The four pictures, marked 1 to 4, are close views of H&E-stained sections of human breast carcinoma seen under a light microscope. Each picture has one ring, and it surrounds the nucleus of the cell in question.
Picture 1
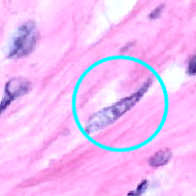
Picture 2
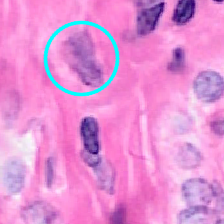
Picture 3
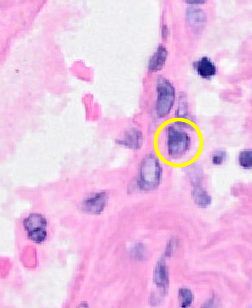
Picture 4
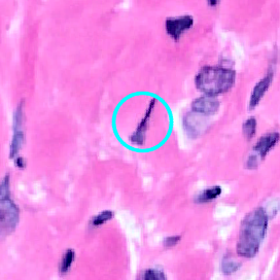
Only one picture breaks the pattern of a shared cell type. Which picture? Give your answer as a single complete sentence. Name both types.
All pictures except 3 show fibroblasts; picture 3 shows an endothelial cell.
